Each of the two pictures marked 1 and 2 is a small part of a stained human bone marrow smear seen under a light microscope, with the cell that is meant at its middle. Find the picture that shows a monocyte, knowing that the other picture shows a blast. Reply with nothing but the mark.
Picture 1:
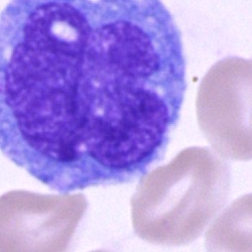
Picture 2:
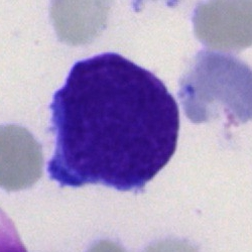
1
